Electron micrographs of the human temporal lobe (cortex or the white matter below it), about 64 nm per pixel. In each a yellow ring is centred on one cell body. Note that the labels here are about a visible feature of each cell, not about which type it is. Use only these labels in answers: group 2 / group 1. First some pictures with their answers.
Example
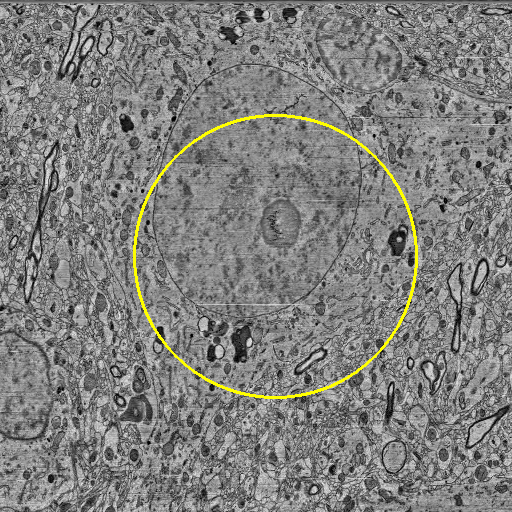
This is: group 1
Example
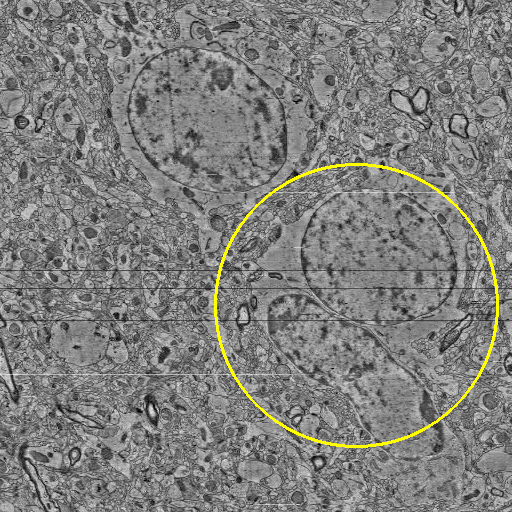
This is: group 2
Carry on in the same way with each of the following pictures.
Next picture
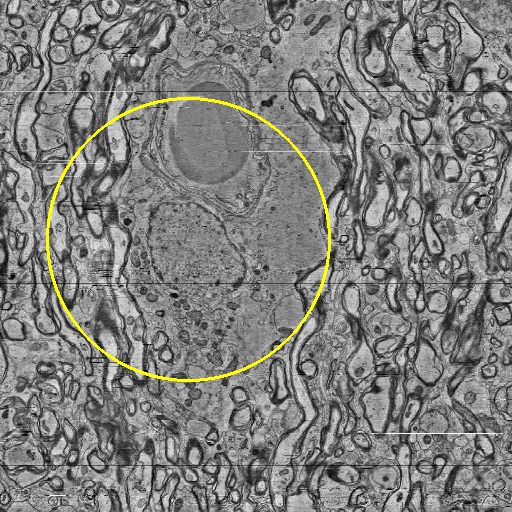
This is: group 2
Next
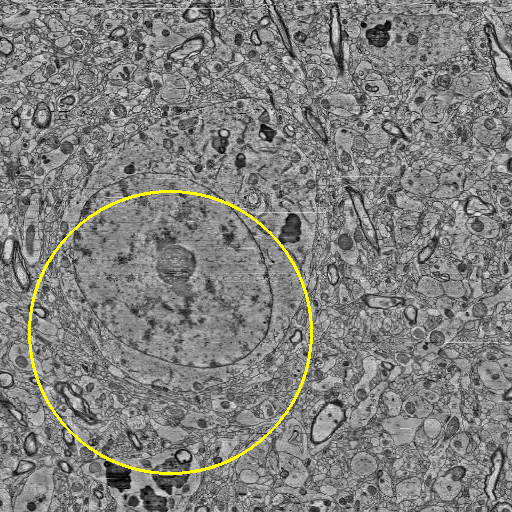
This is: group 1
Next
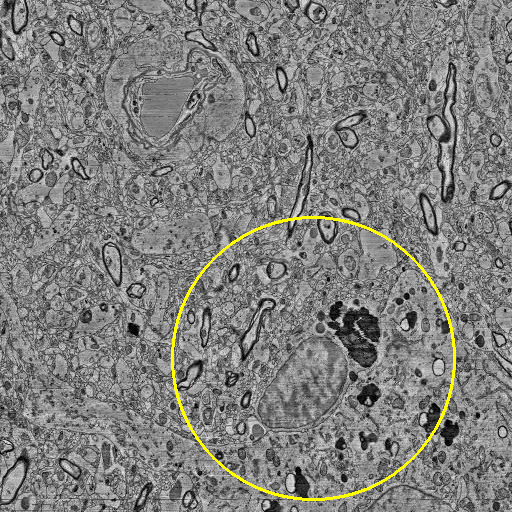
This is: group 2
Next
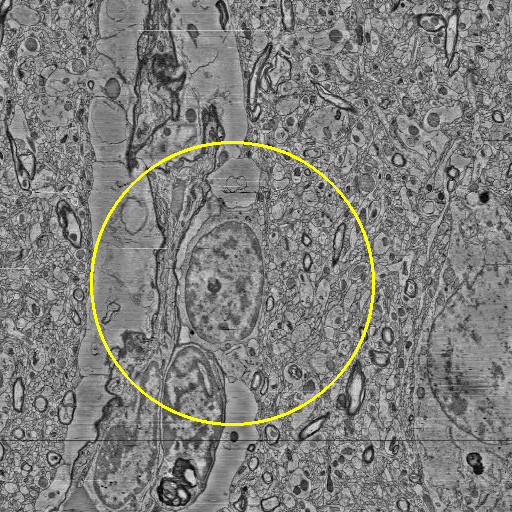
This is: group 1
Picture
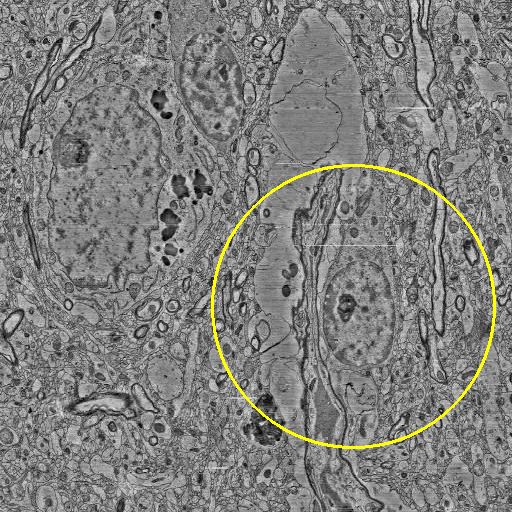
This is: group 1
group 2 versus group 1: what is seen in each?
group 2: no nucleolus seen; group 1: nucleolus seen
